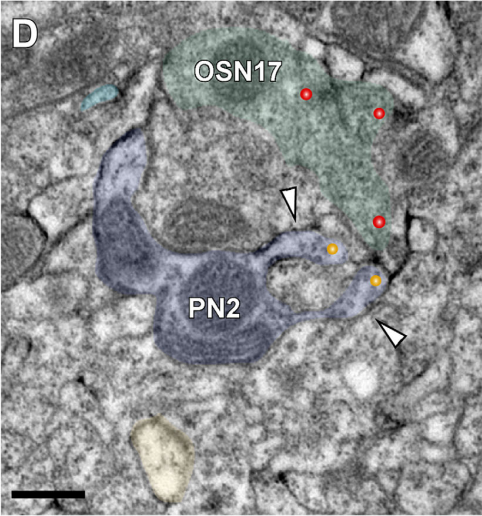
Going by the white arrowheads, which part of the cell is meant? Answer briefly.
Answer: Spines.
